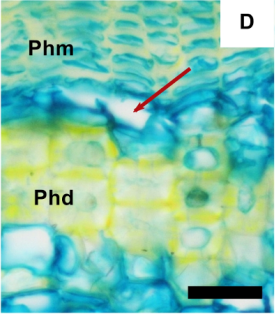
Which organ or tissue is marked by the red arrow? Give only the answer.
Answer: phellogen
